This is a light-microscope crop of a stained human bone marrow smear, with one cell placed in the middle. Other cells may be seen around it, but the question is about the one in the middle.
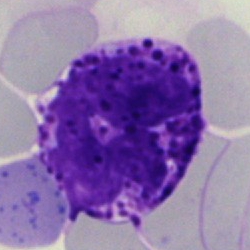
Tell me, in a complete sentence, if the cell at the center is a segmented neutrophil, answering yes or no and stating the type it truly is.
No, a segmented neutrophil is not what the central cell is; it is a basophil.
